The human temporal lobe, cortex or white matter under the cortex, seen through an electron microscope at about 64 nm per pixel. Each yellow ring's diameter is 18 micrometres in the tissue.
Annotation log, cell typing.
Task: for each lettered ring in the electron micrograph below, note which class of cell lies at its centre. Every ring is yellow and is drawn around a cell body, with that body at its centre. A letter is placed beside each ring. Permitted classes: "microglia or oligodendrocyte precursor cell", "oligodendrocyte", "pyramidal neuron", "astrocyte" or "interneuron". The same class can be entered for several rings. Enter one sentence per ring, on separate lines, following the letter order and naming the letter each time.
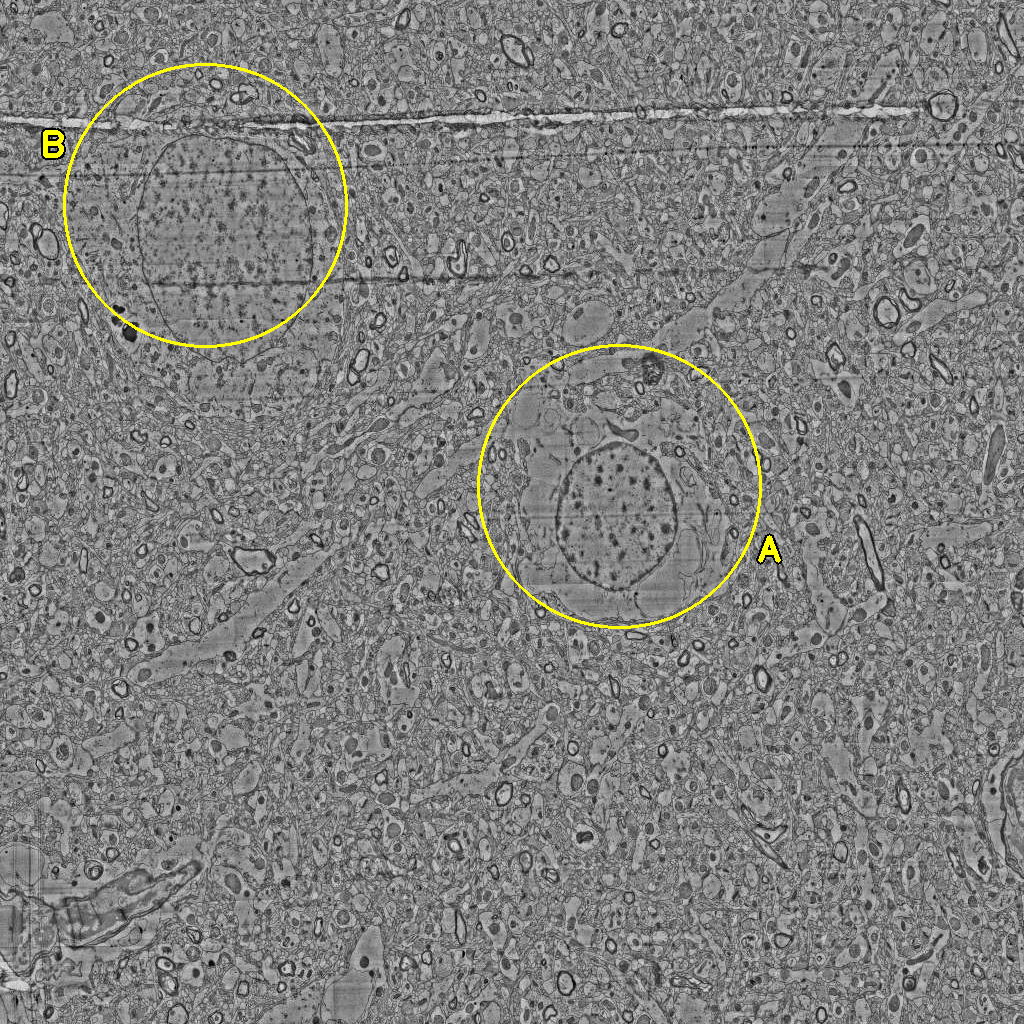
The cell at the centre of ring A is an astrocyte.
The cell at the centre of ring B is a pyramidal neuron.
